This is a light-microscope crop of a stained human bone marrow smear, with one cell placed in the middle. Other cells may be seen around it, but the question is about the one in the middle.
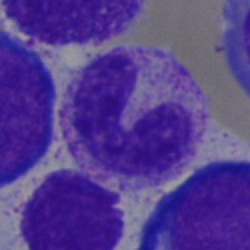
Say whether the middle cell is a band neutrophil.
yes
